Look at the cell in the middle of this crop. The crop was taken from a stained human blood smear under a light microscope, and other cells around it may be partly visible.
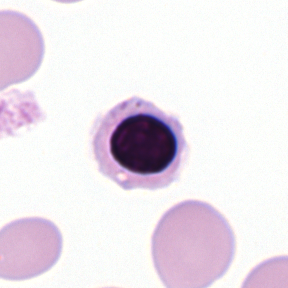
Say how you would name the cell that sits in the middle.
normoblast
